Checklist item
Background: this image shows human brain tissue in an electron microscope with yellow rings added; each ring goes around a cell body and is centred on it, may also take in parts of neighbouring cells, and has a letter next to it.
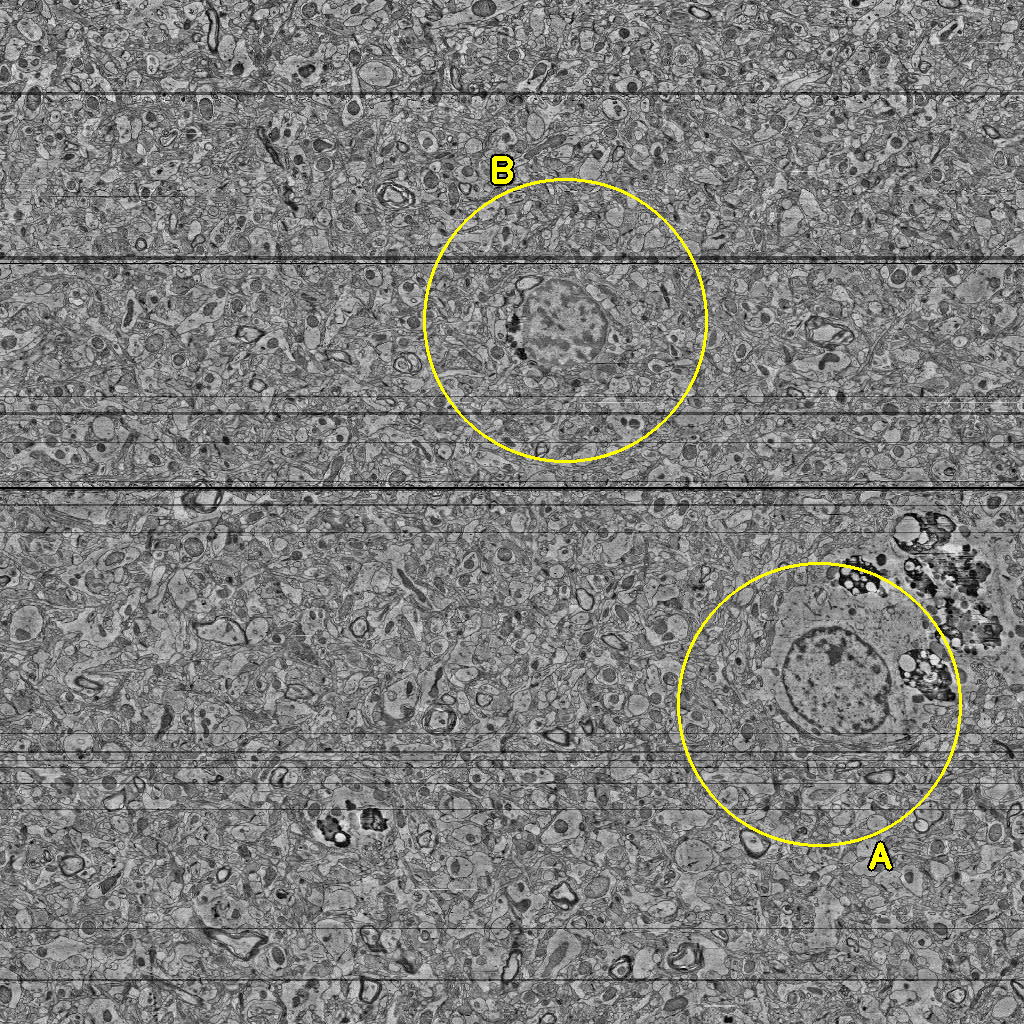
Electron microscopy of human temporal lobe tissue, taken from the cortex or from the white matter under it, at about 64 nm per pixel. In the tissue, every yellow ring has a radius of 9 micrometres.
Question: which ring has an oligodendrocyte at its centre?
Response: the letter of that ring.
B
